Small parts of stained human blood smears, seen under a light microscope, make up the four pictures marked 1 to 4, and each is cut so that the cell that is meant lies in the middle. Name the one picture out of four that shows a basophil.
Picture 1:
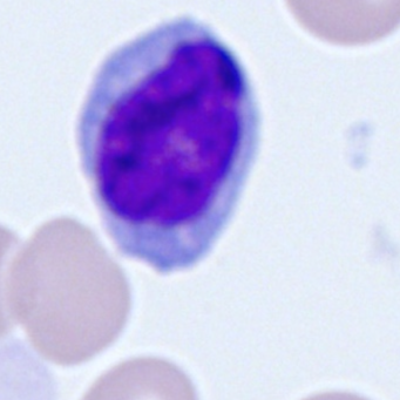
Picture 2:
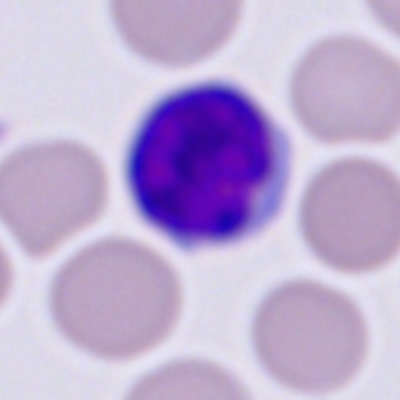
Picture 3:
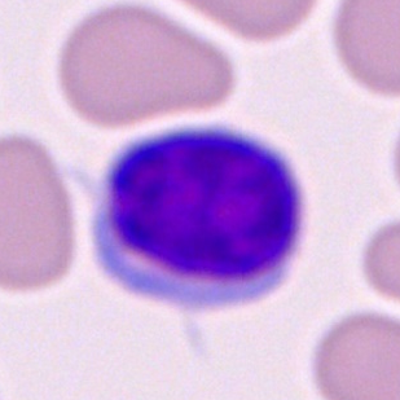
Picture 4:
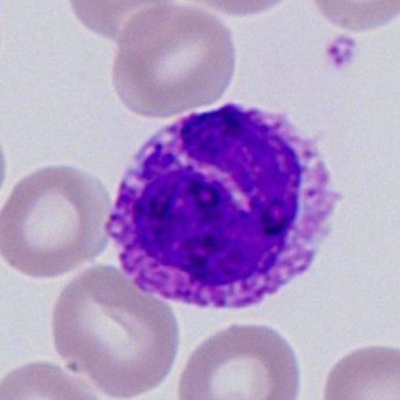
4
